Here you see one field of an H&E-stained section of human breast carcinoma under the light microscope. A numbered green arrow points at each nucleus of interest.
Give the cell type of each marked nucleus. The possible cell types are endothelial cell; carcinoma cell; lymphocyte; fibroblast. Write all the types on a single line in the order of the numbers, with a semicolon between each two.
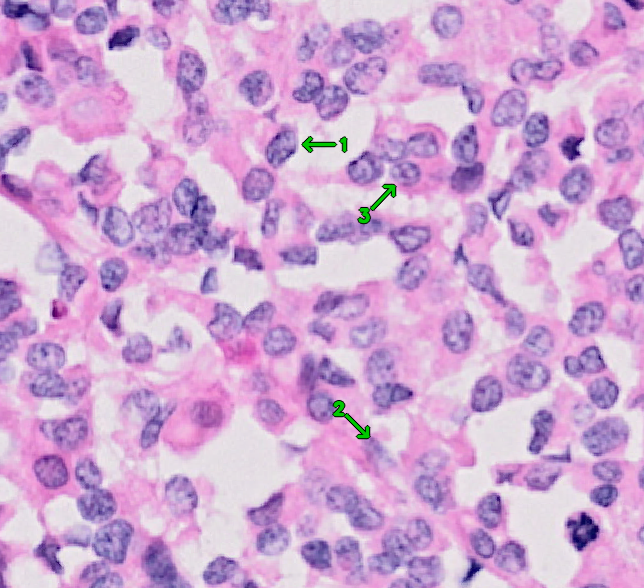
carcinoma cell; fibroblast; carcinoma cell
